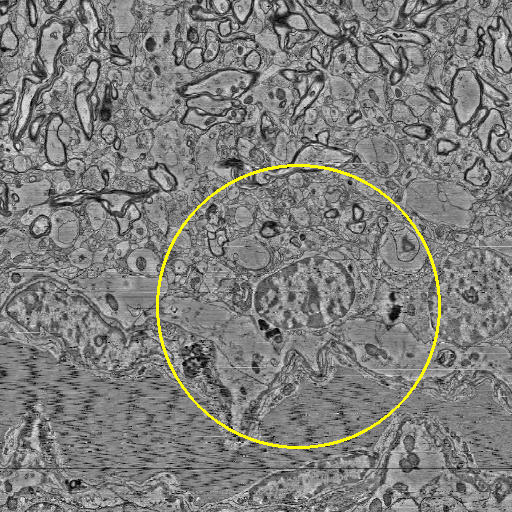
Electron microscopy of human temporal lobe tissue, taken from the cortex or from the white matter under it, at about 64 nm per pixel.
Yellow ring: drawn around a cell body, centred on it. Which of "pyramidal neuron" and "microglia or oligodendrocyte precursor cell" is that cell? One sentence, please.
That cell body is from a microglial cell or oligodendrocyte precursor cell.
